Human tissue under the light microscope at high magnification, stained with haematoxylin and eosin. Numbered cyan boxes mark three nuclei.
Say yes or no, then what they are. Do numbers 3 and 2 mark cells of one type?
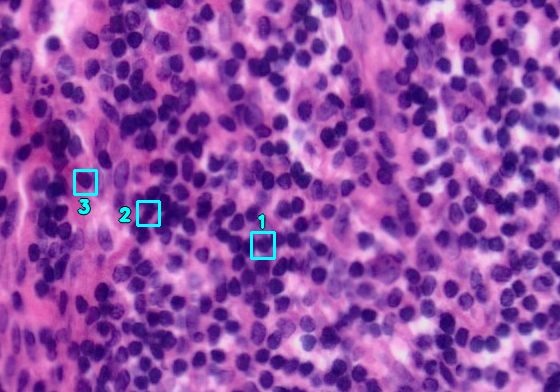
No, cell 3 is an endothelial cell, and cell 2 is, by contrast, a small lymphocyte.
